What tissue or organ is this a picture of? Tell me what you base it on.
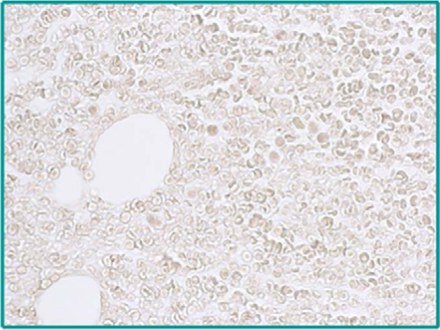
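Bone marrow. Densely packed small round hematopoietic cells fill the field. Large round empty spaces of fat cells lie among the cells.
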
